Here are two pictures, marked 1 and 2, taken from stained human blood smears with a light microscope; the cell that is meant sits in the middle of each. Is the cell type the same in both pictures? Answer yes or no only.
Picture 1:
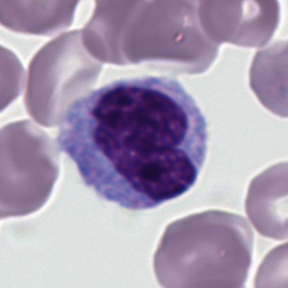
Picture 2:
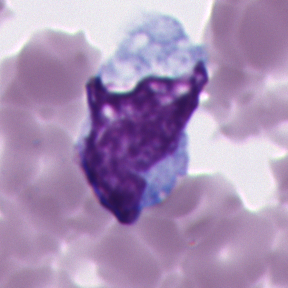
yes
